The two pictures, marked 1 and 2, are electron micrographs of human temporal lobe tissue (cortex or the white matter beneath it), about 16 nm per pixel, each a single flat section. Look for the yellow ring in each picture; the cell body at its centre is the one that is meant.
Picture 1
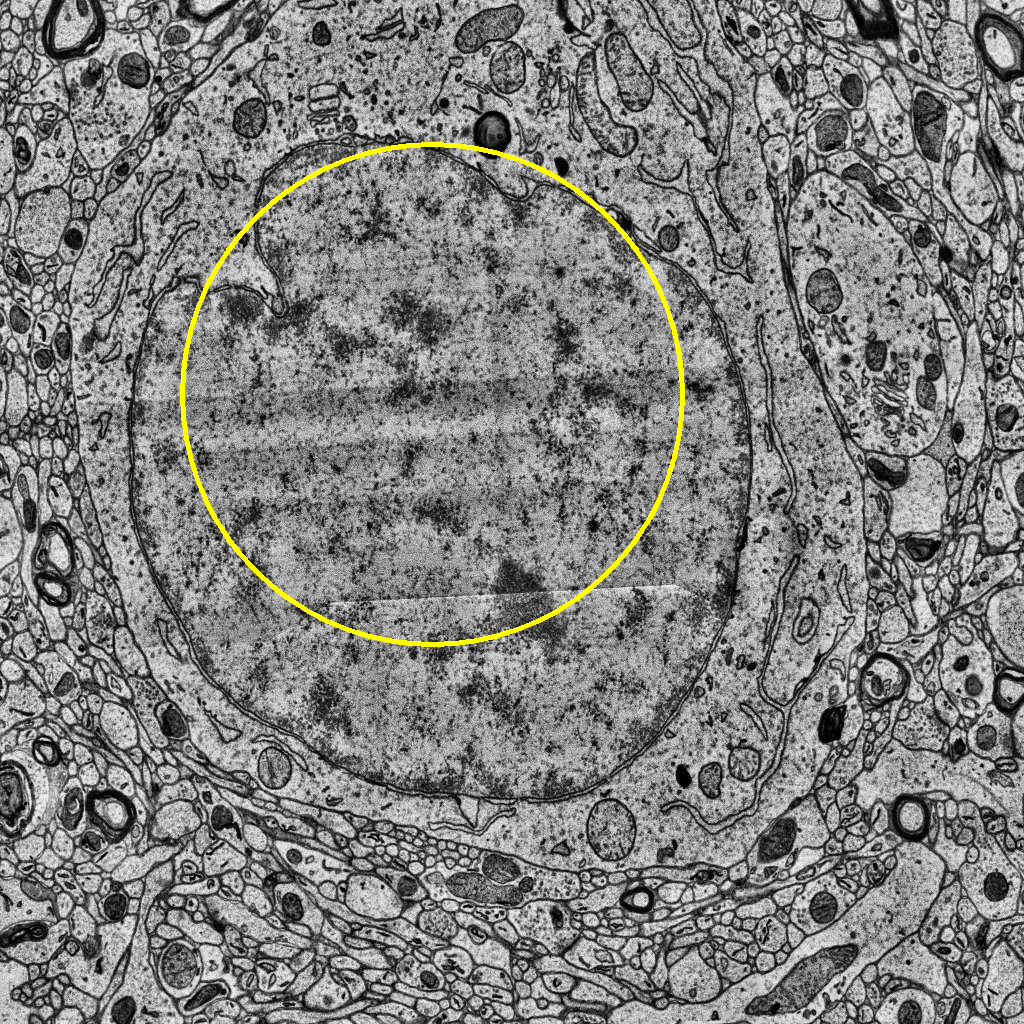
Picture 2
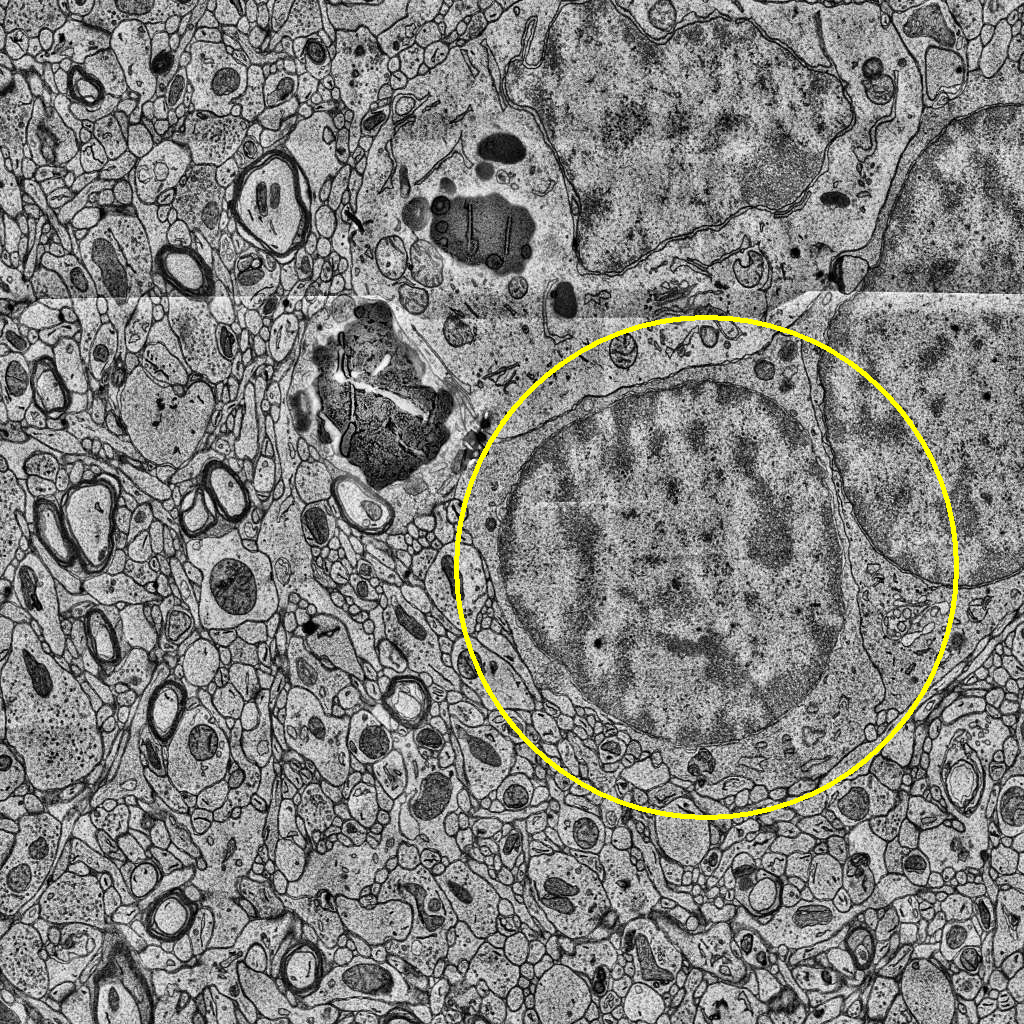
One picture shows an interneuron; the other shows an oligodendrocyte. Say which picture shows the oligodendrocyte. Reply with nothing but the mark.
2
